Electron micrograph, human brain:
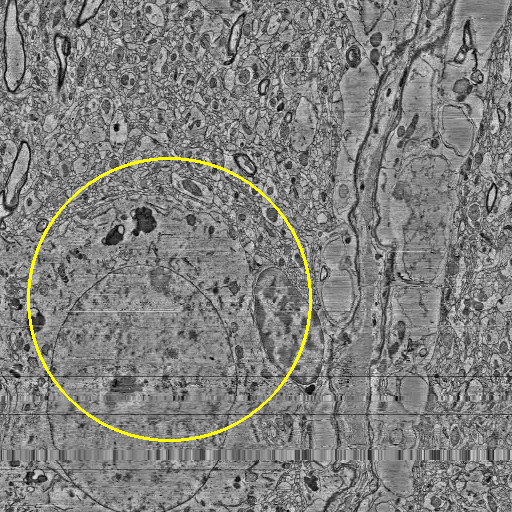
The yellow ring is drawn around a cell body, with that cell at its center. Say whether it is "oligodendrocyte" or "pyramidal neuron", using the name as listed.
pyramidal neuron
